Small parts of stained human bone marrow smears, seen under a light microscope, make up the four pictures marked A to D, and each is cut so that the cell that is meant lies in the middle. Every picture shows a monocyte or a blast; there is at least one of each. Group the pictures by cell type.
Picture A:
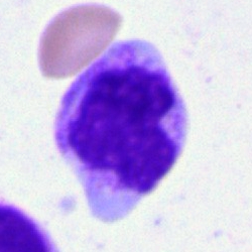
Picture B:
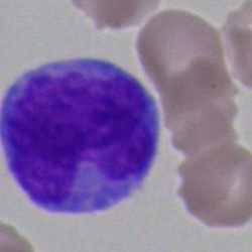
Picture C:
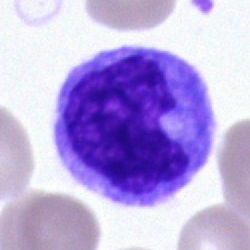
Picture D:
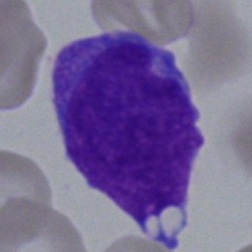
A: monocyte
B: monocyte
C: monocyte
D: blast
